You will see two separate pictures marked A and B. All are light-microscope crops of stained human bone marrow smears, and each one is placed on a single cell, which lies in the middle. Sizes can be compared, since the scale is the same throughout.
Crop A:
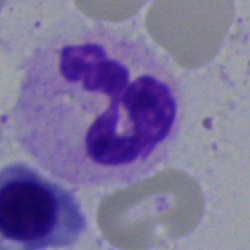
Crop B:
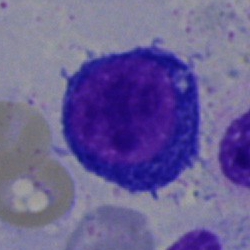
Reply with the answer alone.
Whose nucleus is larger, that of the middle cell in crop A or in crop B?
B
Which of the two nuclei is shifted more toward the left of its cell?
B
